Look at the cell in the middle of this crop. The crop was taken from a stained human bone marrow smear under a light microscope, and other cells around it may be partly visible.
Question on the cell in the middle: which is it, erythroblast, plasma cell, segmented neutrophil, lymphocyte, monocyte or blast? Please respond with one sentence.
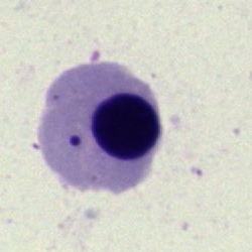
Whatever else lies nearby, the middle cell is an erythroblast.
